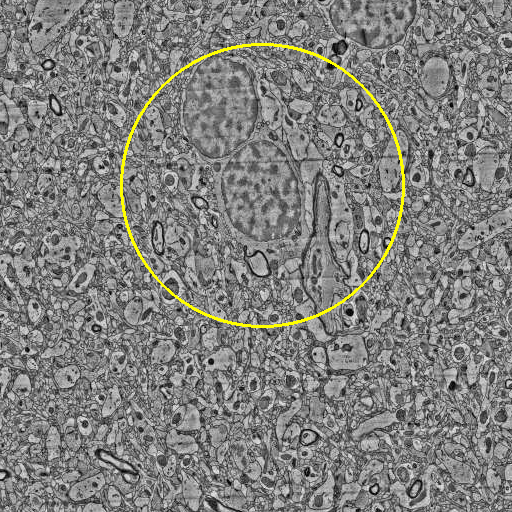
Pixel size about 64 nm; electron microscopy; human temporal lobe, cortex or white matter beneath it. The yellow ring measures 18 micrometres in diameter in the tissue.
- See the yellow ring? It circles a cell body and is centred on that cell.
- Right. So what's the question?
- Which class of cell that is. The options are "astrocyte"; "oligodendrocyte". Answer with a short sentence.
The centre of the ring holds an oligodendrocyte.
